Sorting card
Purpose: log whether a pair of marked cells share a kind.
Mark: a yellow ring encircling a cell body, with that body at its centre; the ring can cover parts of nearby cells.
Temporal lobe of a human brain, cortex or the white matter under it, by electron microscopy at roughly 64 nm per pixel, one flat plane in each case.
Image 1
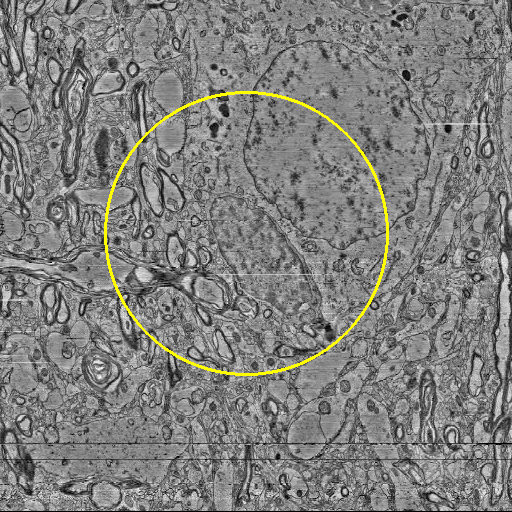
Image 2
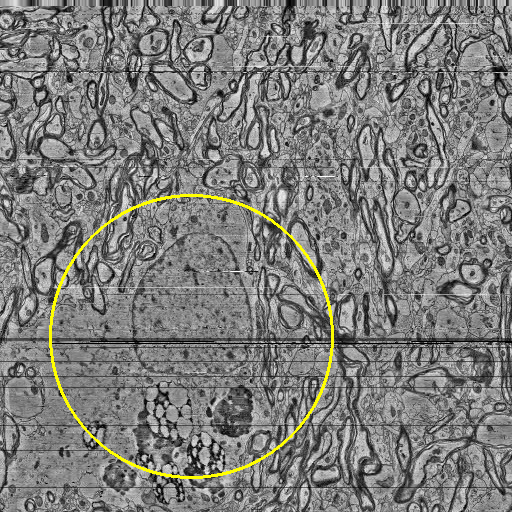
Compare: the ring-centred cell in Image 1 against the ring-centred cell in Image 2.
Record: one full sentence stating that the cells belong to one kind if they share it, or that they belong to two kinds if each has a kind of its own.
Across Images 1 and 2, the two ring-centred cells belong to two kinds.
